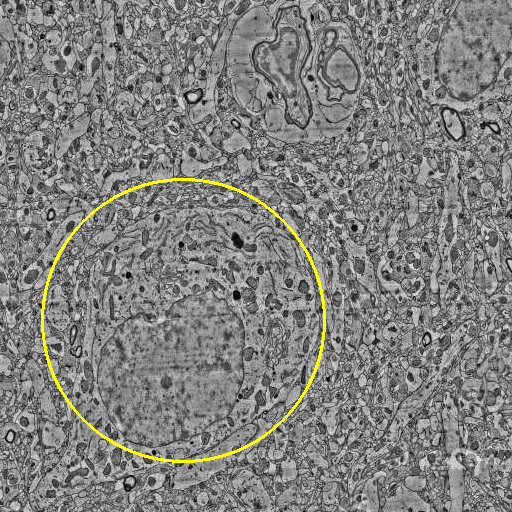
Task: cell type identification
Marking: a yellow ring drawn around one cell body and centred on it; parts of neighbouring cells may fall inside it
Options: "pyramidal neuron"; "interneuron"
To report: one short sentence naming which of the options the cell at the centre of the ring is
The cell at the centre of the ring is an interneuron.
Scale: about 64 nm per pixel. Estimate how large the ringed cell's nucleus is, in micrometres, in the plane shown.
The nucleus of the ringed cell is approximately 11 by 9 micrometres in this plane.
